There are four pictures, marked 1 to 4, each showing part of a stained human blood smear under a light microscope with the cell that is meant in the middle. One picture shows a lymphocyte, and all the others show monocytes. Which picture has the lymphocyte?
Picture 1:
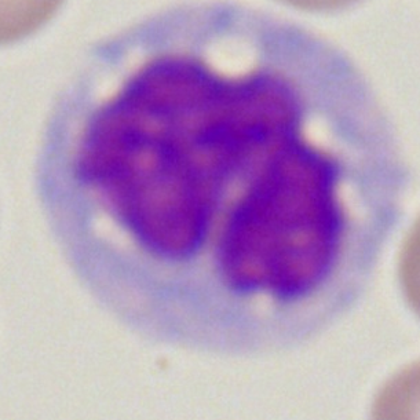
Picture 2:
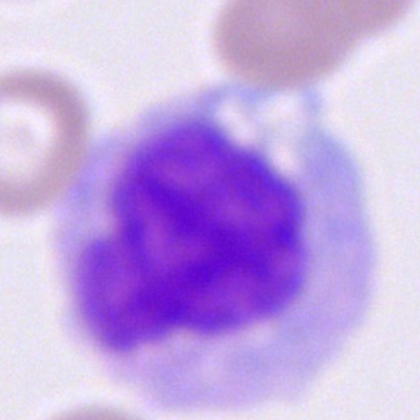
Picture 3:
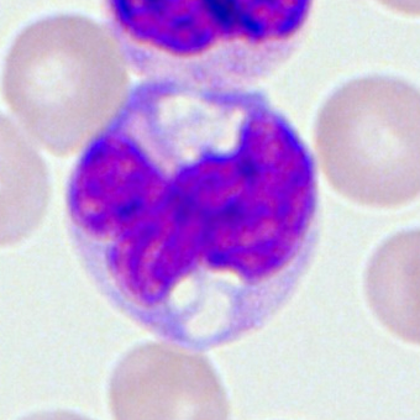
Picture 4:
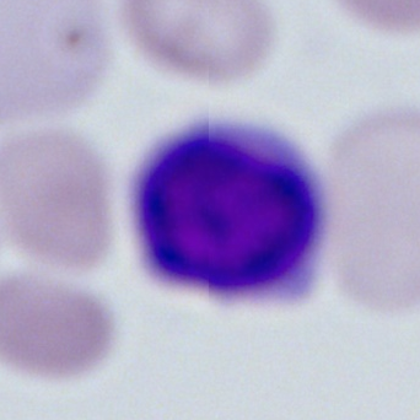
4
